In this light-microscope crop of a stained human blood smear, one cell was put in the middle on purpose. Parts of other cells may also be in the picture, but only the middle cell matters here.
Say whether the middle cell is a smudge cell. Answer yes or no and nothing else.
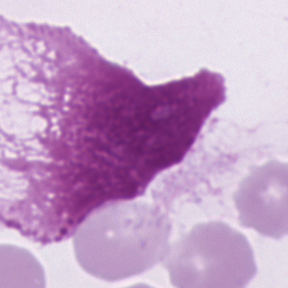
yes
